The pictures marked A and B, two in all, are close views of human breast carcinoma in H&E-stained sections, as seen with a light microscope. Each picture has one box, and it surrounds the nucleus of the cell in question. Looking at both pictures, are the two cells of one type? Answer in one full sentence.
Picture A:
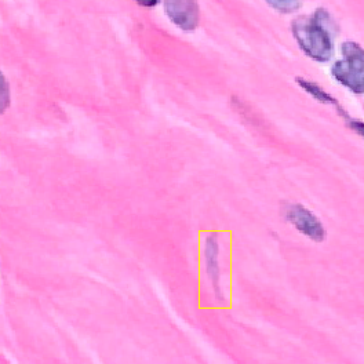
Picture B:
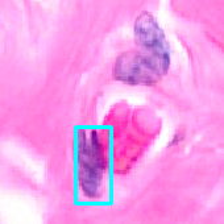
No, they differ: the cell is a fibroblast in picture A and an endothelial cell in picture B.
